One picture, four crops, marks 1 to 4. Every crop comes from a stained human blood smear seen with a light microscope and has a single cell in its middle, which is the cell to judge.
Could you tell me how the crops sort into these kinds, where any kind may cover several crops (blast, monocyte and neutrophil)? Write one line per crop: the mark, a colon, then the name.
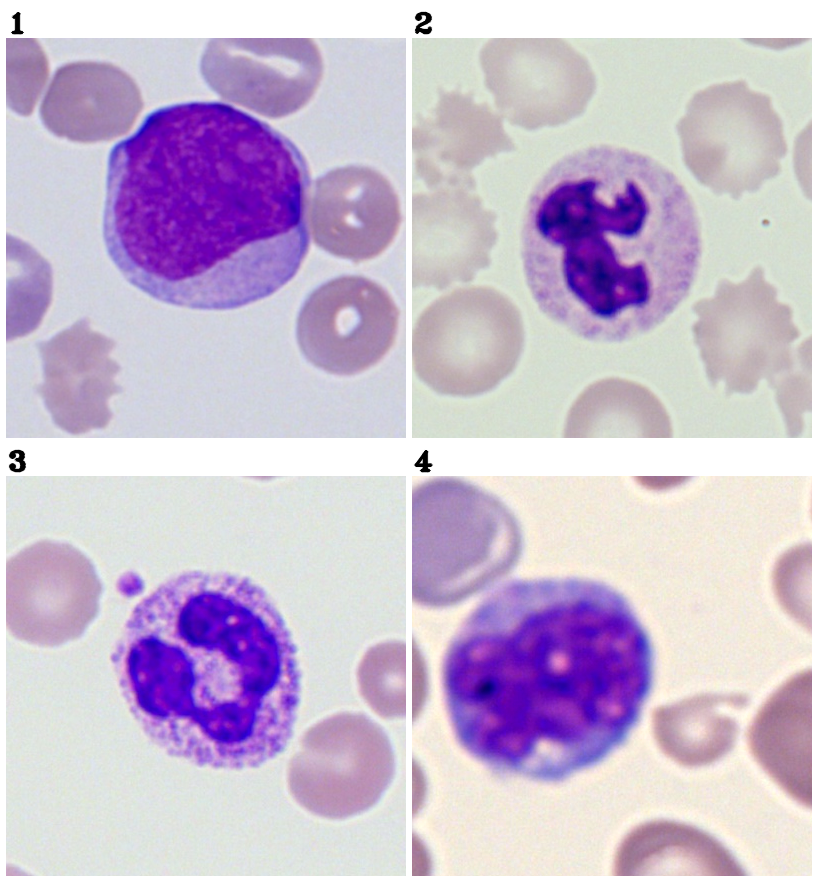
1: blast
2: neutrophil
3: neutrophil
4: monocyte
